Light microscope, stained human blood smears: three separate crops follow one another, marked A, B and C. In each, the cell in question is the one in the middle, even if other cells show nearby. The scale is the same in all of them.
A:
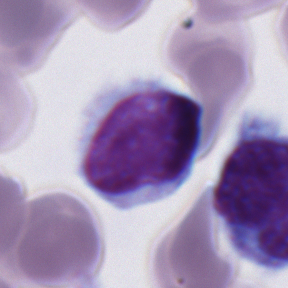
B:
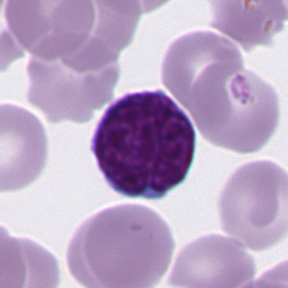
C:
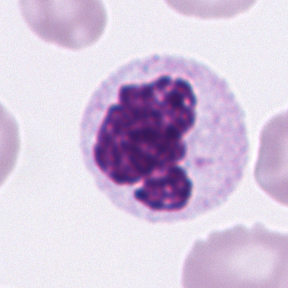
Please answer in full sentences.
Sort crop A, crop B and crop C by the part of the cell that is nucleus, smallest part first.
The least filled comes first: C, A, B.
